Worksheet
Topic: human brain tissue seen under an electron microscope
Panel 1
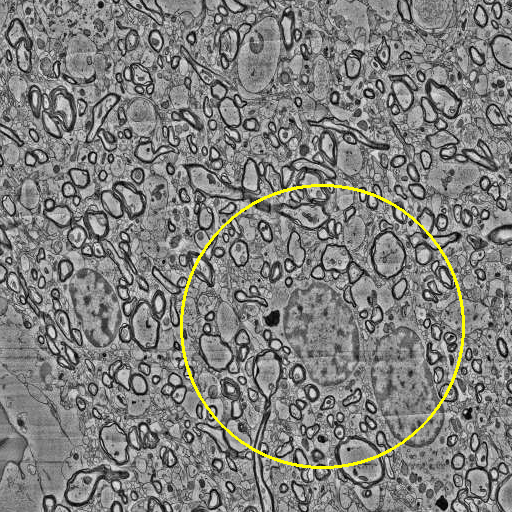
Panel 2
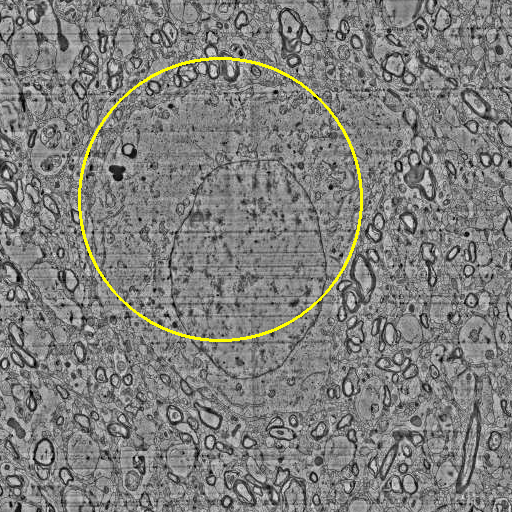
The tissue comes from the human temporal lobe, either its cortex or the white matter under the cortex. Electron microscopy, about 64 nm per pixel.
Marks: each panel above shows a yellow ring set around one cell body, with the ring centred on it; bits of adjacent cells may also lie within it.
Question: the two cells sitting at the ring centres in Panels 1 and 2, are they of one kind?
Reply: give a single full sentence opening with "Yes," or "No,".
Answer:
No, the two ring-centre cells in Panel 1 and Panel 2 are of two kinds.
